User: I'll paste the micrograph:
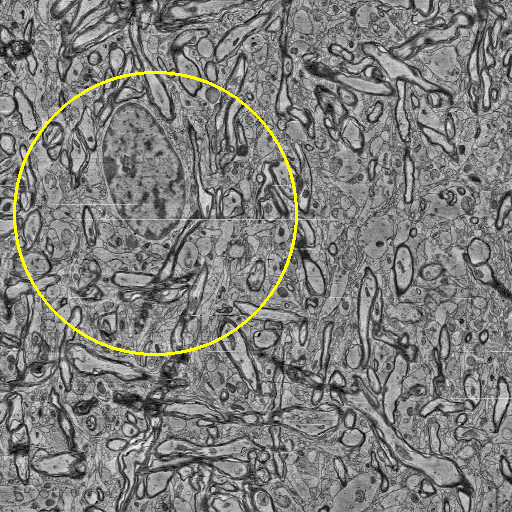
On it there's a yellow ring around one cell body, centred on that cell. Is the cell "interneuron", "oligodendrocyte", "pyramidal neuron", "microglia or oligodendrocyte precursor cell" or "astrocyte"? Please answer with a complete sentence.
The cell ringed in yellow is a microglial cell or oligodendrocyte precursor cell.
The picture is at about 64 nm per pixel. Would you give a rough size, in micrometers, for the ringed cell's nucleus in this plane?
In this plane, about 9 by 5 micrometres: the nucleus is clearly longer than it is wide.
